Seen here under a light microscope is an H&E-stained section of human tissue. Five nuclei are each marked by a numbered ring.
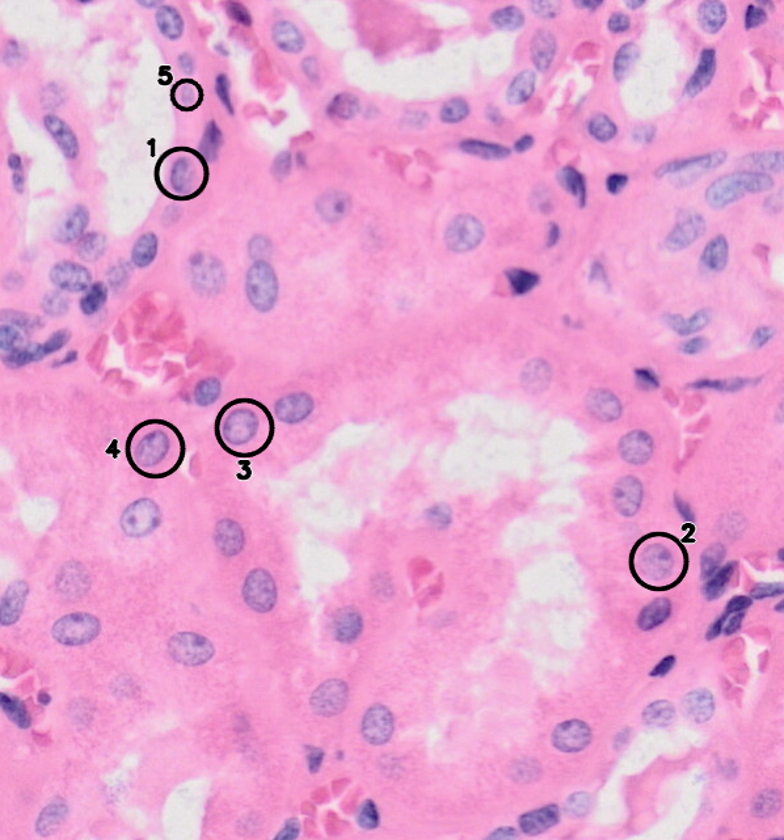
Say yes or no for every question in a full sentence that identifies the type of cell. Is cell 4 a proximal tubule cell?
Yes, the cell labelled with number 4 is a proximal tubule cell.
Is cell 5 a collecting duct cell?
Yes, so the cell at label 5 is a collecting duct cell.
